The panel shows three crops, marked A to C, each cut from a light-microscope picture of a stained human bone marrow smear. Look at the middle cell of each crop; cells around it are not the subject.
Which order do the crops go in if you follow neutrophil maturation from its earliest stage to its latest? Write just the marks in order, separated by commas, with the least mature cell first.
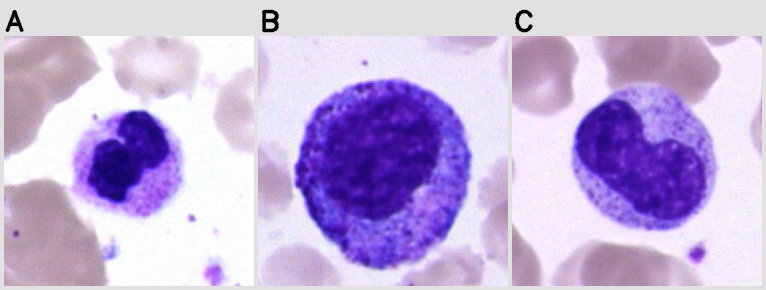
B, C, A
